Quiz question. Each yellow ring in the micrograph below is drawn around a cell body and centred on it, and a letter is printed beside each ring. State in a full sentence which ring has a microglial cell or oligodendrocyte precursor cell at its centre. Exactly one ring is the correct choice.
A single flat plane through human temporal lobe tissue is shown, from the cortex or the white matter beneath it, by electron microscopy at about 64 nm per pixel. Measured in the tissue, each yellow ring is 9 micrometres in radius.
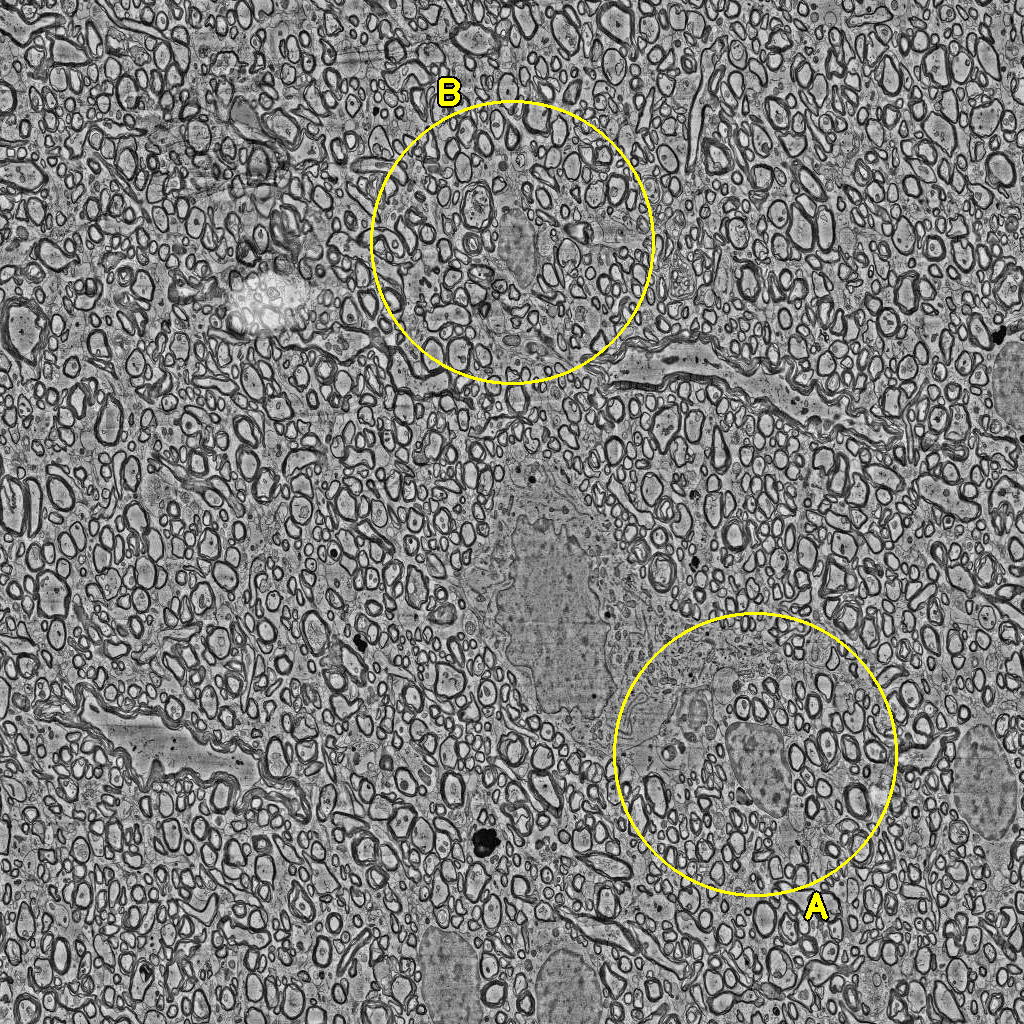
The correct ring is ring A.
